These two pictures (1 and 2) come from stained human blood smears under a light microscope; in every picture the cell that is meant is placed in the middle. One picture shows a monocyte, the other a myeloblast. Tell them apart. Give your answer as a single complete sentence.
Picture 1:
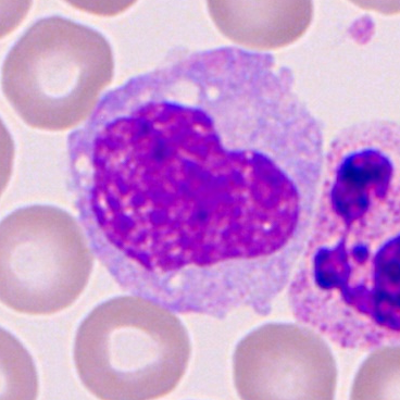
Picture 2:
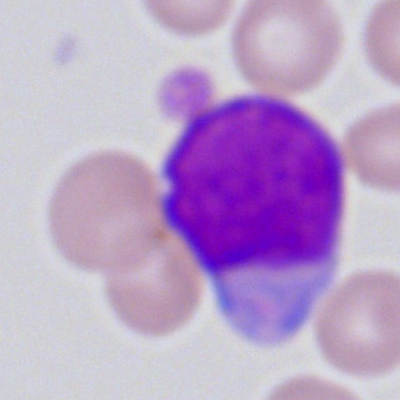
The cell in picture 1 is a monocyte, and the one in picture 2 is a myeloblast.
